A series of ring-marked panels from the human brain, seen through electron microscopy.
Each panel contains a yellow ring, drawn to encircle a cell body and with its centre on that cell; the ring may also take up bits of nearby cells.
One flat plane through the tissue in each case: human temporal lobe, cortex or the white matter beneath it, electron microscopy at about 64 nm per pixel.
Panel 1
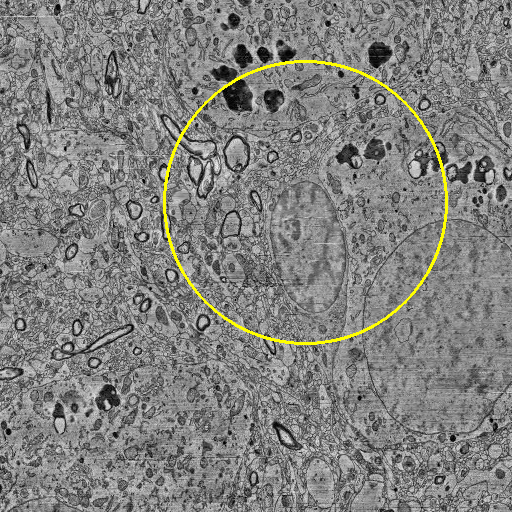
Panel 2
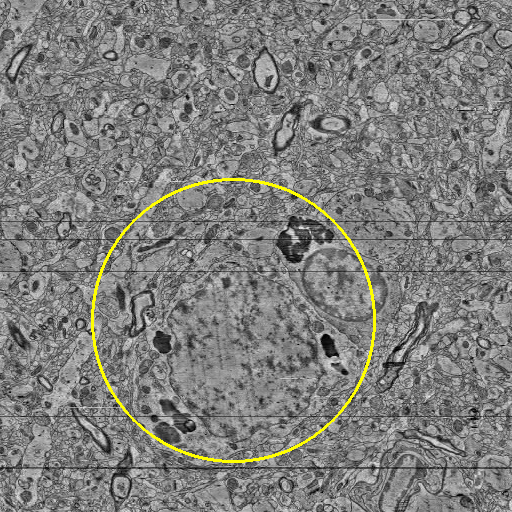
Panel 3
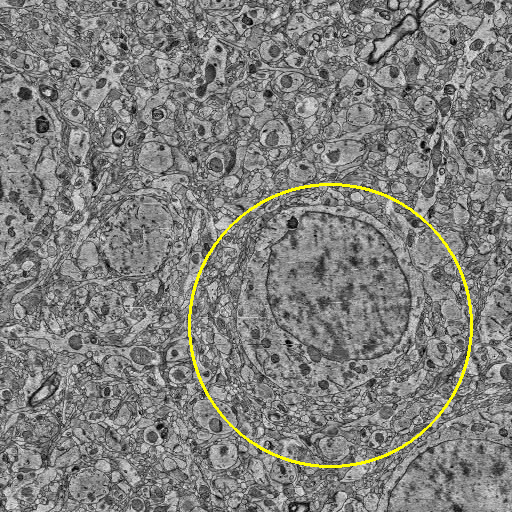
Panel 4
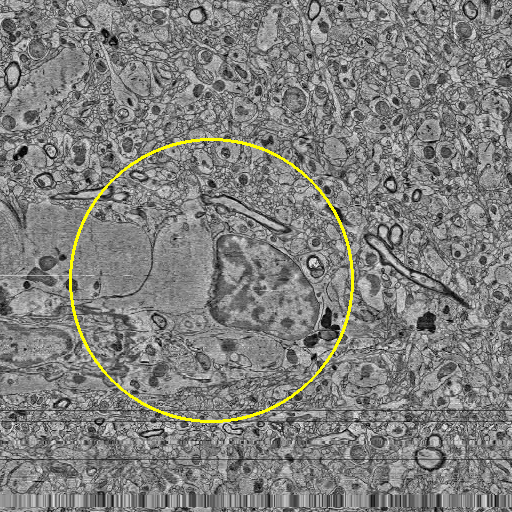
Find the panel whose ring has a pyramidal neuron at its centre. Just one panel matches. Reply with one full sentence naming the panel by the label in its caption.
The sought cell lies at the centre of the ring shown in Panel 3.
